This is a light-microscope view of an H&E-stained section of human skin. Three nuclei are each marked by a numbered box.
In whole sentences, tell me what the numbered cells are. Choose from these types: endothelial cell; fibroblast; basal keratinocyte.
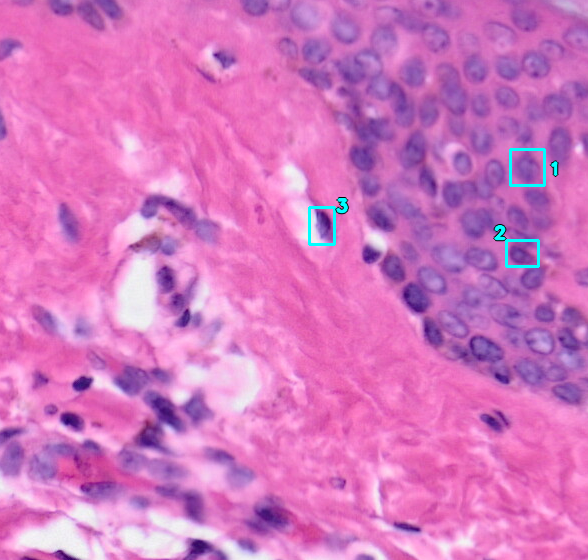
Cell 1 is a basal keratinocyte, cell 2 is a basal keratinocyte and cell 3 is a fibroblast.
